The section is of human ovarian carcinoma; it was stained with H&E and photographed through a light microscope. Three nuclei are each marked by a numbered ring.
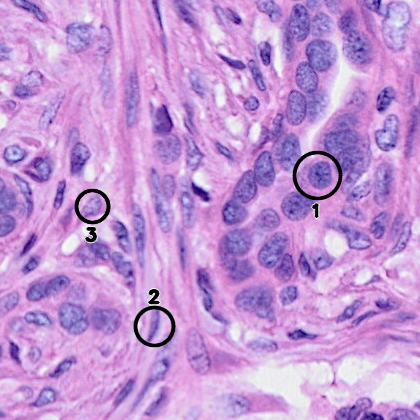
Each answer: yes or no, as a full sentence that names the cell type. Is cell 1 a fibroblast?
No, cell 1 is not to be taken for a fibroblast; it is a carcinoma cell.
